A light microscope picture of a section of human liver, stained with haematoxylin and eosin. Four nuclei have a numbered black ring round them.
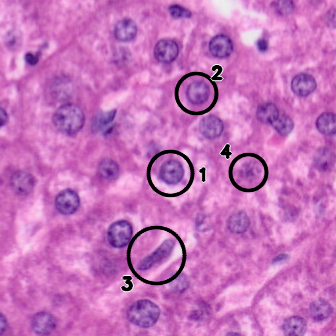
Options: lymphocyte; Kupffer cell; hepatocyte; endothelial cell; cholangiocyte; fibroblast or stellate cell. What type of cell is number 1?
hepatocyte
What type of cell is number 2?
hepatocyte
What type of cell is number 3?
Kupffer cell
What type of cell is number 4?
hepatocyte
